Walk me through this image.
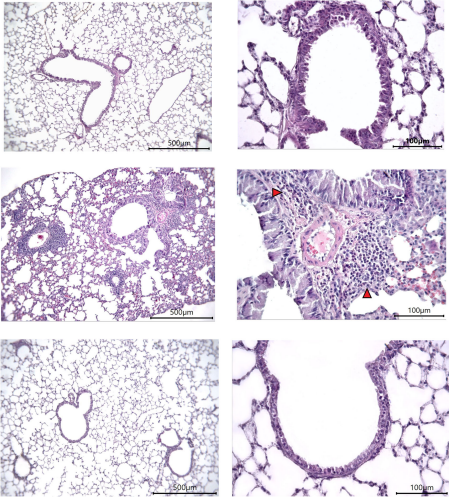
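These are sections of lung tissue stained pink and purple, showing airways, blood vessels and alveoli. At low magnification the alveoli form a fine lacy network of thin-walled spaces around round or branching airways lined by a continuous epithelium. At high magnification an airway is lined by a single layer of columnar epithelial cells with purple nuclei, surrounded by thin alveolar walls. In one row the picture is unlike the others: the tissue is much denser, with airways and a vessel surrounded by thick collections of small round cells with dark nuclei, and the nearby alveolar walls are thickened. The other rows show open alveoli and little cellular infiltrate.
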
